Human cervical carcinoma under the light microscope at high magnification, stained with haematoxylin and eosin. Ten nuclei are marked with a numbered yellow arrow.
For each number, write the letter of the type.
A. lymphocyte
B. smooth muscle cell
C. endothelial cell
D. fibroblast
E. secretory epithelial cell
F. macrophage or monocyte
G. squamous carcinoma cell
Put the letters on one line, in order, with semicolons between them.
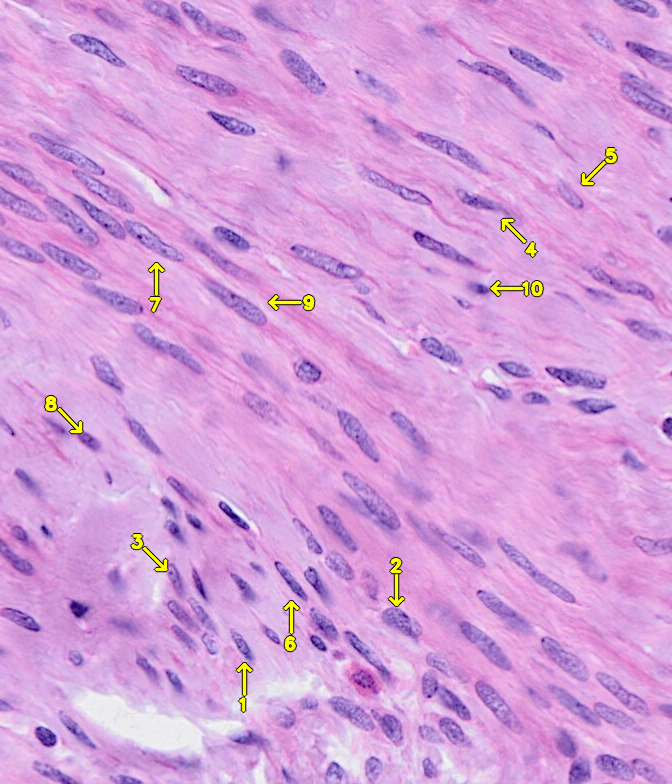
D; D; B; B; B; D; B; B; B; D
